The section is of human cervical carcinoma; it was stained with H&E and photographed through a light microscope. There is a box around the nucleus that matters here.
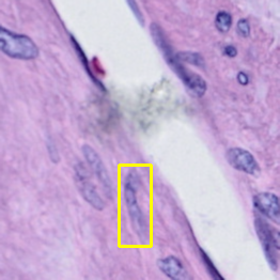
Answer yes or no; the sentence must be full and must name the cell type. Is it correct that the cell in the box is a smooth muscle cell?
Yes, the description of the cell in the box as a smooth muscle cell is accurate.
